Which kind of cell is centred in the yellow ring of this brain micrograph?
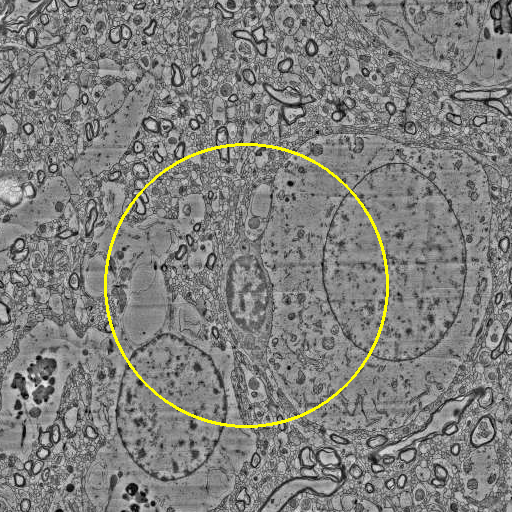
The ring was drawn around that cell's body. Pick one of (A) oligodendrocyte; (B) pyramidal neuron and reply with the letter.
A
